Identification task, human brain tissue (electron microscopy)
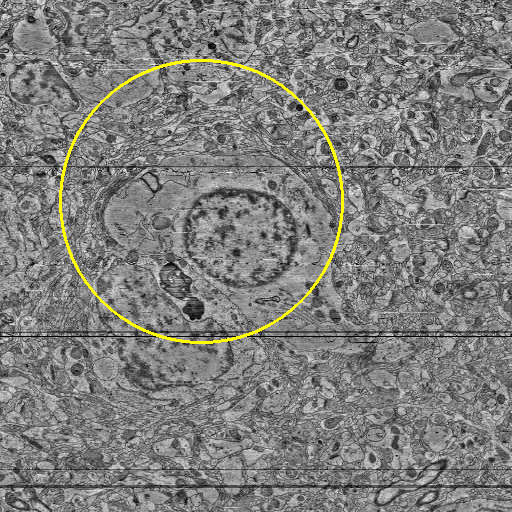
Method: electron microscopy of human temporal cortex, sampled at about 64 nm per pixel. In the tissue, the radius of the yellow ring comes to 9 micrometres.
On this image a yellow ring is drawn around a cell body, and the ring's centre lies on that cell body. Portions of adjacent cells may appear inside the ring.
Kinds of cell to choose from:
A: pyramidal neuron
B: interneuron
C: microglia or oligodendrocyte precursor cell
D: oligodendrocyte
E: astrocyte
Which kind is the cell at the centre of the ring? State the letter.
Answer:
E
